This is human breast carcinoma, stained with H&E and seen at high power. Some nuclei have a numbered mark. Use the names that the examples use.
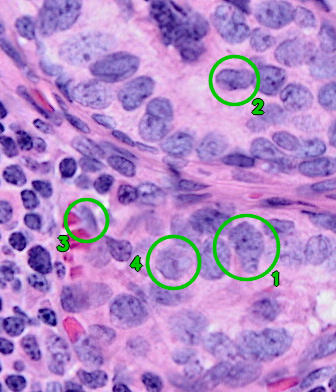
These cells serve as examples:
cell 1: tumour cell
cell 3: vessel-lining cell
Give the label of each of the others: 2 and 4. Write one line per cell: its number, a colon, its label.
2: tumour cell
4: tumour cell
